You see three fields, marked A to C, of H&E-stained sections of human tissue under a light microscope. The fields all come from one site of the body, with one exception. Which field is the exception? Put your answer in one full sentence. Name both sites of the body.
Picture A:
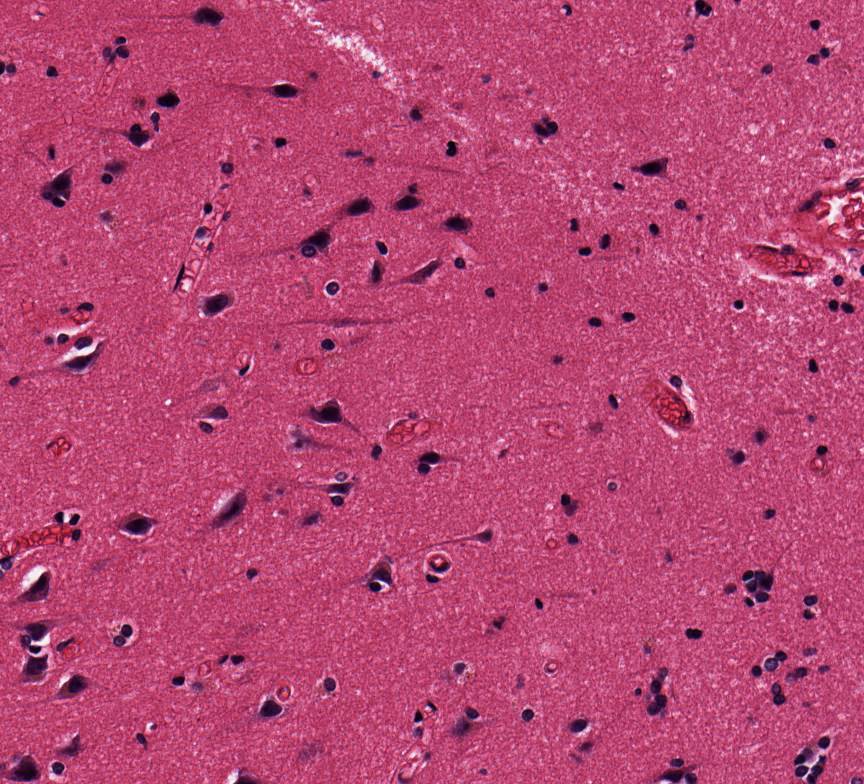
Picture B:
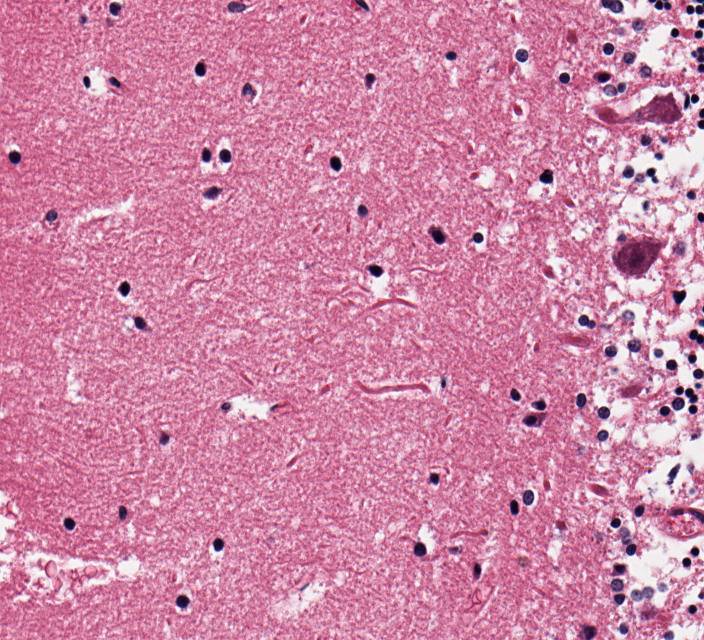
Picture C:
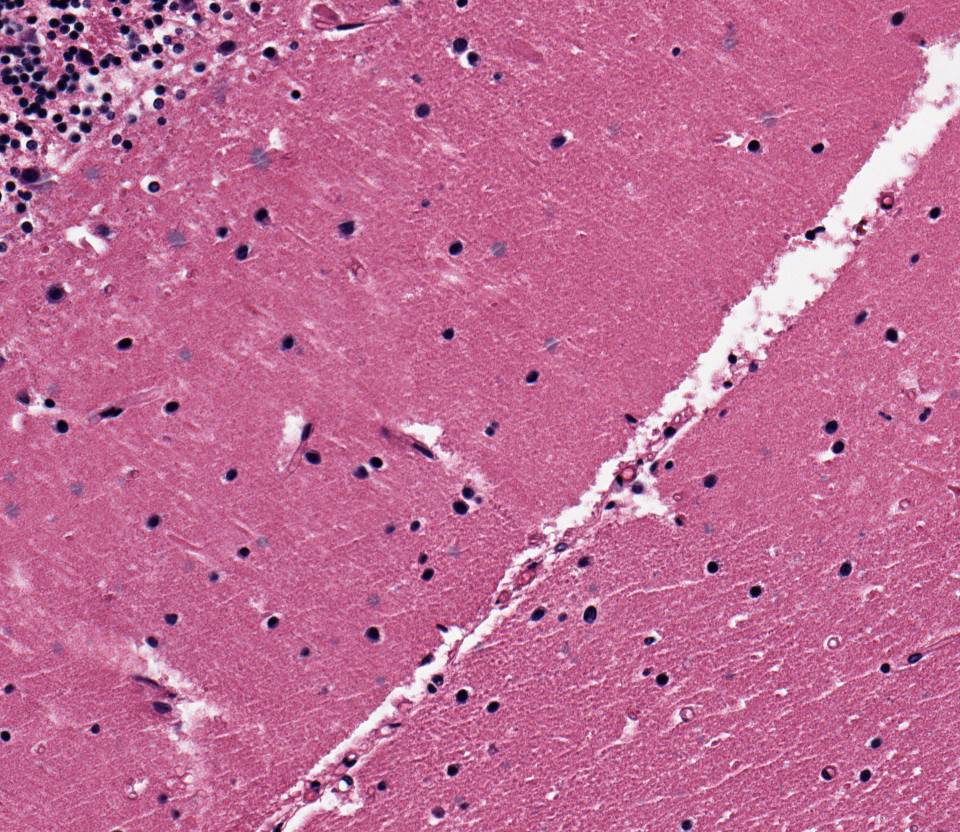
The others come from the cerebellum, but picture A comes from the cerebral cortex.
